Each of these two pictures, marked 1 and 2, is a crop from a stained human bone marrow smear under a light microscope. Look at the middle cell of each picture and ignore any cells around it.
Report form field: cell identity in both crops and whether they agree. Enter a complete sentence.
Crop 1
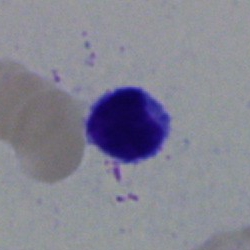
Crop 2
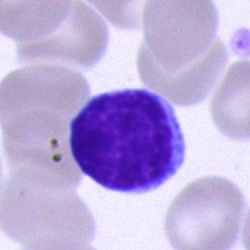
Yes, both crops alike show lymphocytes at the centre.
